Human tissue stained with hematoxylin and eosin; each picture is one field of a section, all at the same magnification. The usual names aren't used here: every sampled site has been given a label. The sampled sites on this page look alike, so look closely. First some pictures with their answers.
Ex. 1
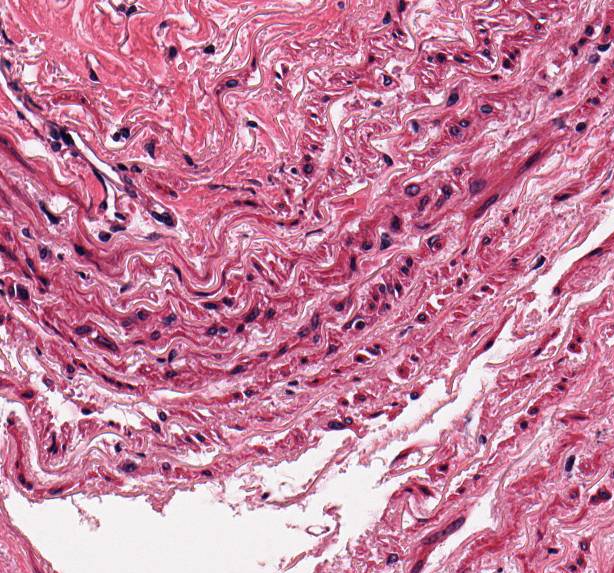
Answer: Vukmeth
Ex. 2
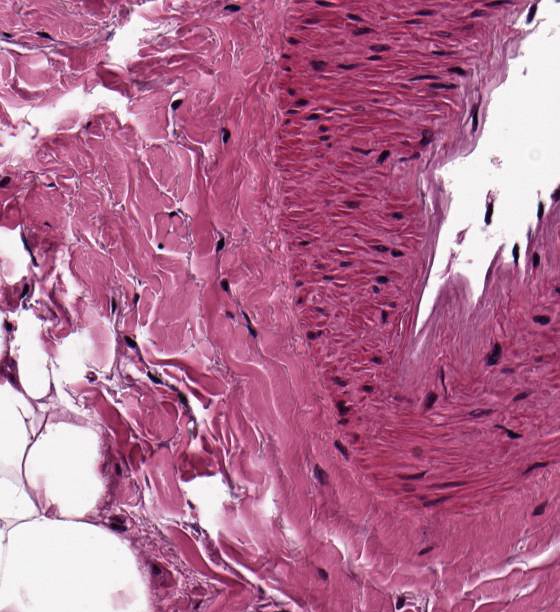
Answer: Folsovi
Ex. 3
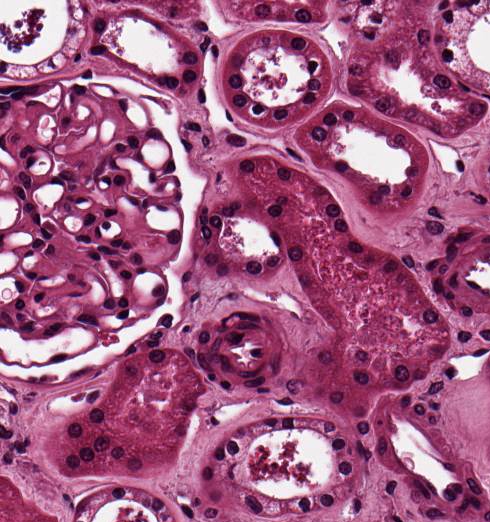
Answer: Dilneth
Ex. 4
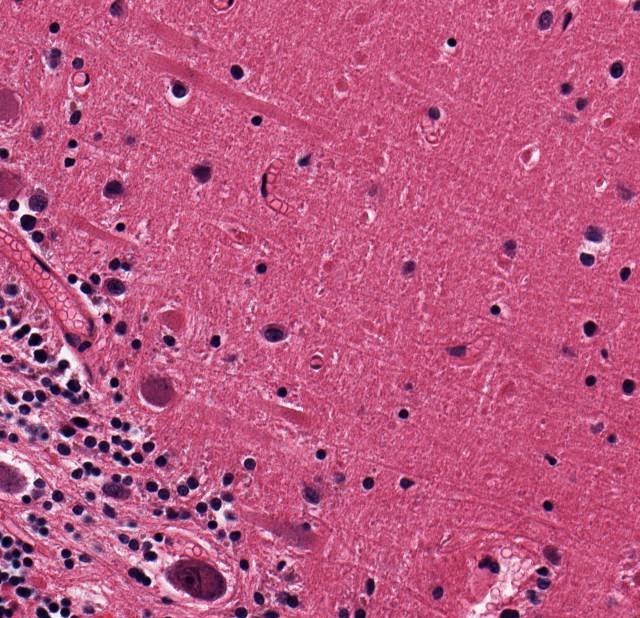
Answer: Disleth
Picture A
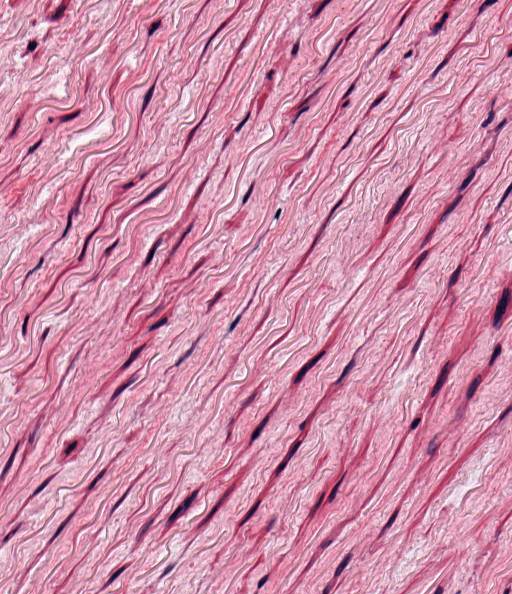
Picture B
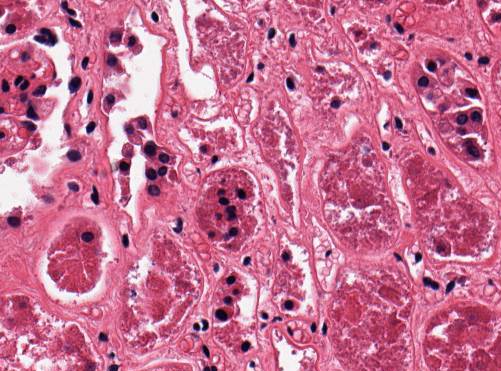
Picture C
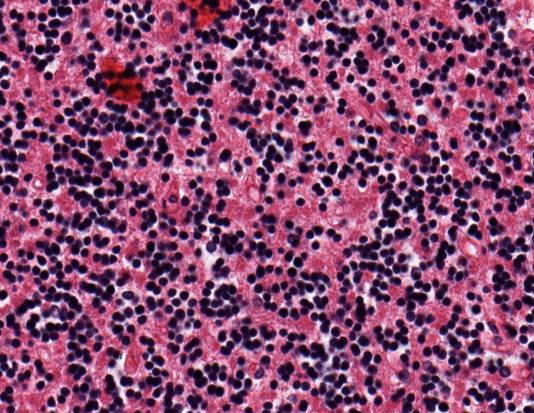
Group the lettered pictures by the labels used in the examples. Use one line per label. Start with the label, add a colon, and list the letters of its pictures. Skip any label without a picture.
Vukmeth: A
Dilneth: B
Disleth: C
